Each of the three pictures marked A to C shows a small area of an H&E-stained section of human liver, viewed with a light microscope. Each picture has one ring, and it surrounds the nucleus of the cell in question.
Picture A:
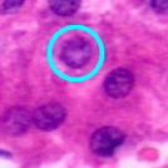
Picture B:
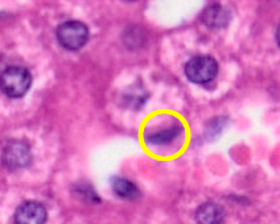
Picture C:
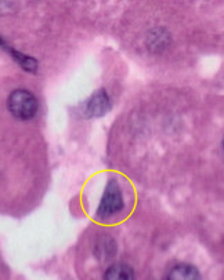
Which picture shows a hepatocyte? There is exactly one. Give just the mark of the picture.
A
